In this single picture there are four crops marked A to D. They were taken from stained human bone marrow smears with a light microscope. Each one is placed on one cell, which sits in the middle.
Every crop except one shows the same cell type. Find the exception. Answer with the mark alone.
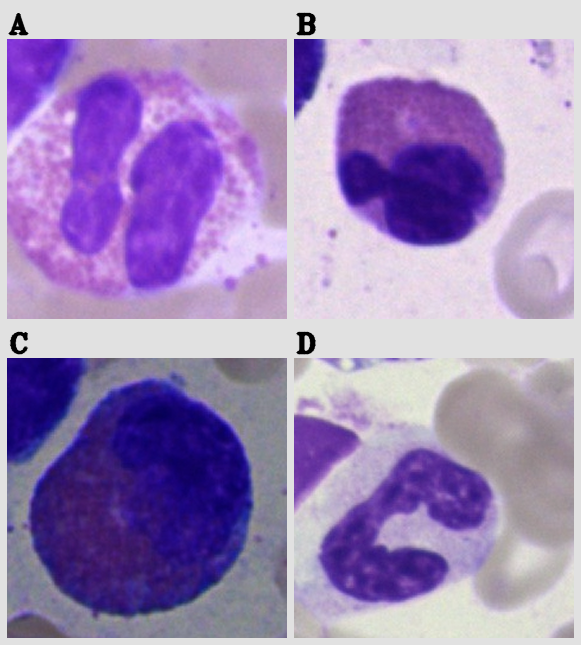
D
